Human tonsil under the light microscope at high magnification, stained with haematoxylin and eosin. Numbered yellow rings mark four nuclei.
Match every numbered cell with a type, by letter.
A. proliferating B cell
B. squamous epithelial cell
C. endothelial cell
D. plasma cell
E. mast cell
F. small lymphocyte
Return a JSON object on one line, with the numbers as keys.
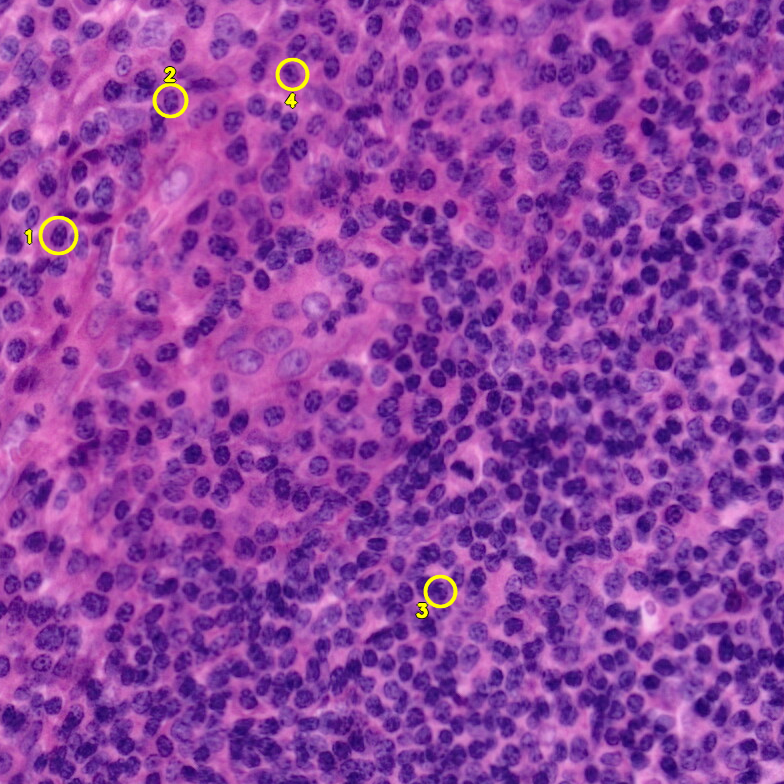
{"1": "D", "2": "D", "3": "F", "4": "D"}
